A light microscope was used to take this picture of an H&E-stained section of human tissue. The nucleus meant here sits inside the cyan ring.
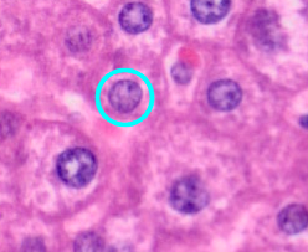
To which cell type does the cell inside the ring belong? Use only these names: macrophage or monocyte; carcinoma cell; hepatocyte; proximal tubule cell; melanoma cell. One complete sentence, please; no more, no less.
Just put down that the cell inside the ring is a hepatocyte.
